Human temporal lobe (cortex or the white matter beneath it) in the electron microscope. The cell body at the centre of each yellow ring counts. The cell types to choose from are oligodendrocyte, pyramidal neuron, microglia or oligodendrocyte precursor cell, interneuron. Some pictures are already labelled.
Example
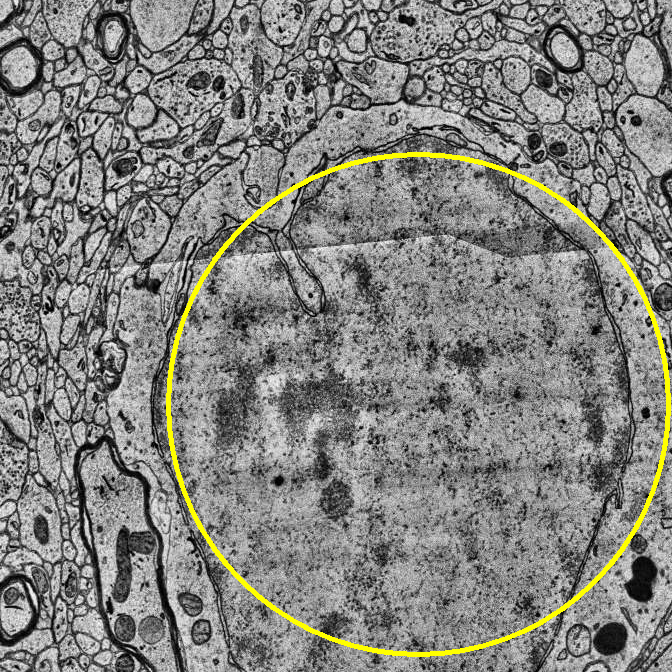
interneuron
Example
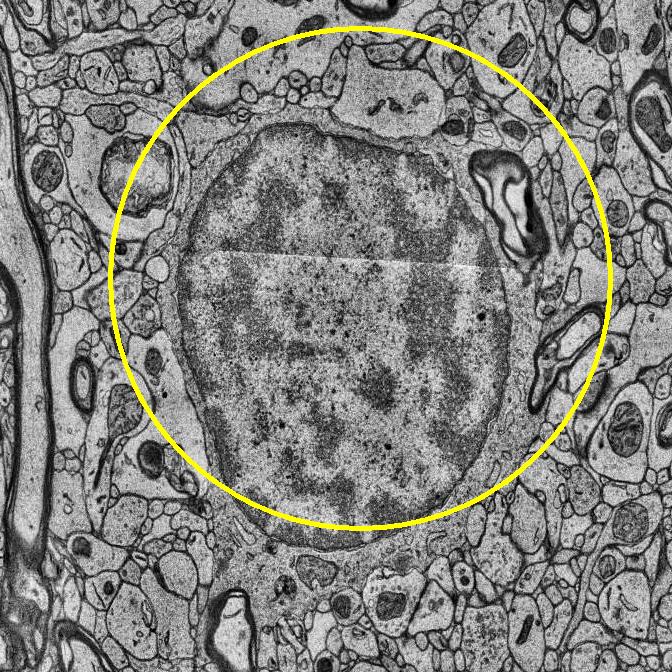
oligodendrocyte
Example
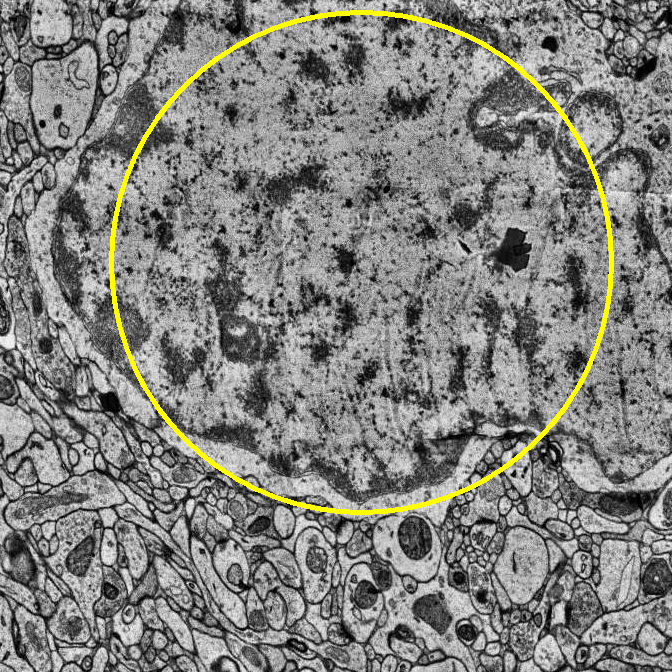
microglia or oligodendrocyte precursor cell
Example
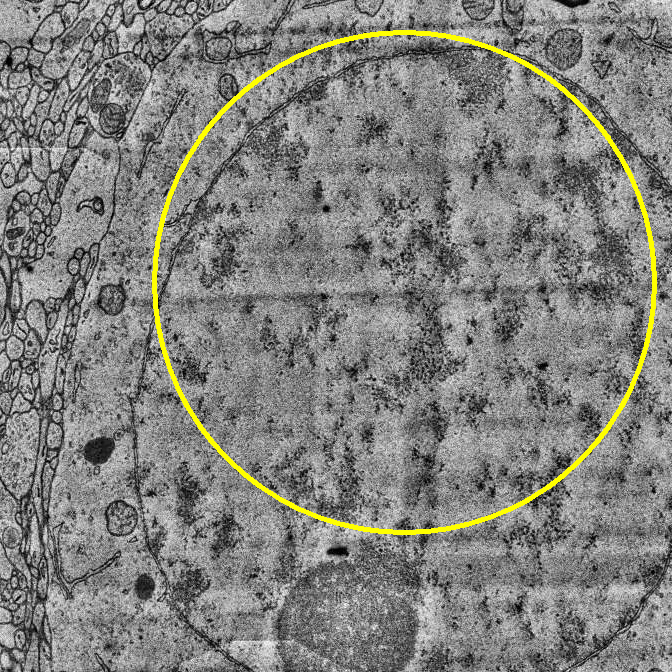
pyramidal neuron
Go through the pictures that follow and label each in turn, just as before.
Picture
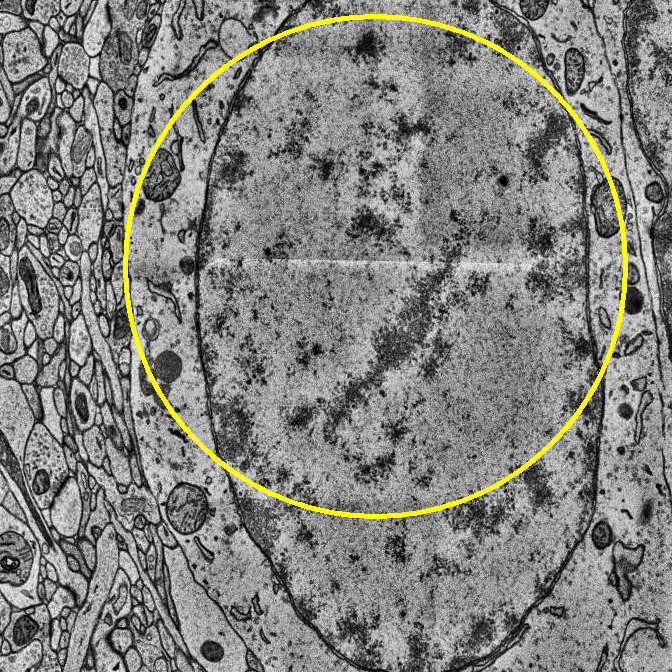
pyramidal neuron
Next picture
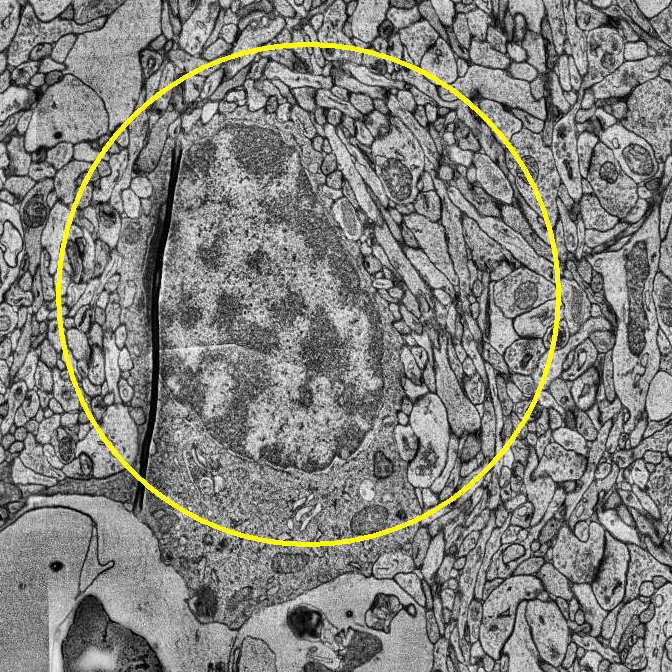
oligodendrocyte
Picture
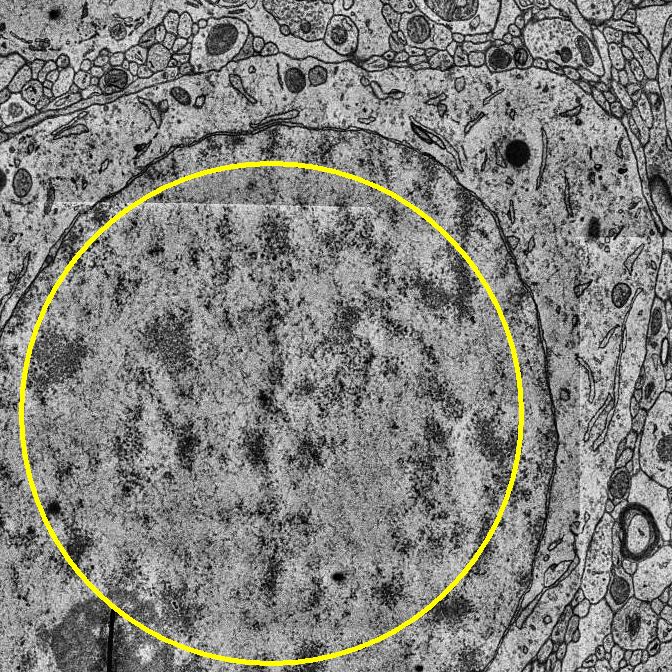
interneuron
